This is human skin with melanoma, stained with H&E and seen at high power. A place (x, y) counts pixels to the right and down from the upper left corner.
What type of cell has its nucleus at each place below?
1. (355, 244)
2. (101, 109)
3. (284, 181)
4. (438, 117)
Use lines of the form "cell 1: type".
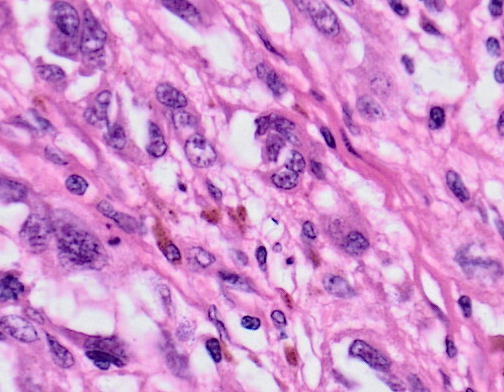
cell 1: melanoma cell
cell 2: melanoma cell
cell 3: melanoma cell
cell 4: plasma cell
